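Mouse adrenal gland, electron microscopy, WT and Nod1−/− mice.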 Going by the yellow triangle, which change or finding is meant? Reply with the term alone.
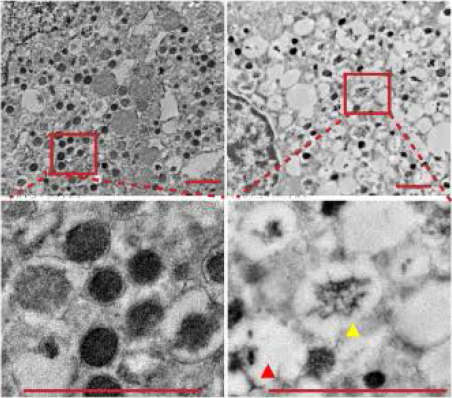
decreased dense core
